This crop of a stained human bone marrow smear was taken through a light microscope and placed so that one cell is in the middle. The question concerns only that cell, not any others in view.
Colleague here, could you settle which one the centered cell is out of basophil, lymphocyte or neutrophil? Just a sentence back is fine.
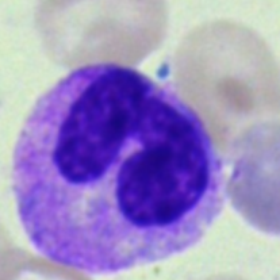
In the middle of this smear crop, the cell is a neutrophil.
